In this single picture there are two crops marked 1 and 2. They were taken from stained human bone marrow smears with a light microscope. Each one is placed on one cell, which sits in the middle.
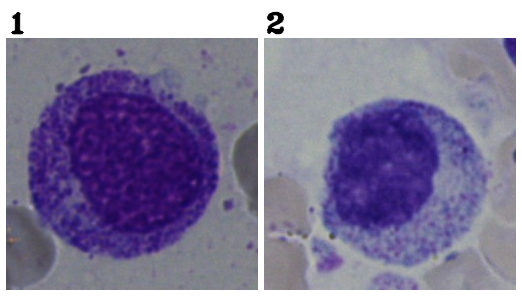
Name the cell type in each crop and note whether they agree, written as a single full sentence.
Yes, it is myelocytes that both crops show.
